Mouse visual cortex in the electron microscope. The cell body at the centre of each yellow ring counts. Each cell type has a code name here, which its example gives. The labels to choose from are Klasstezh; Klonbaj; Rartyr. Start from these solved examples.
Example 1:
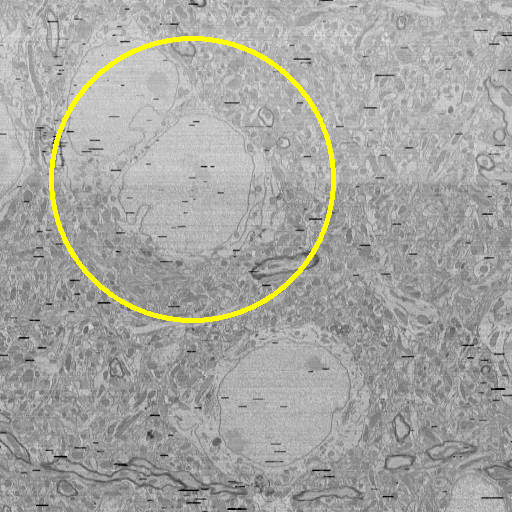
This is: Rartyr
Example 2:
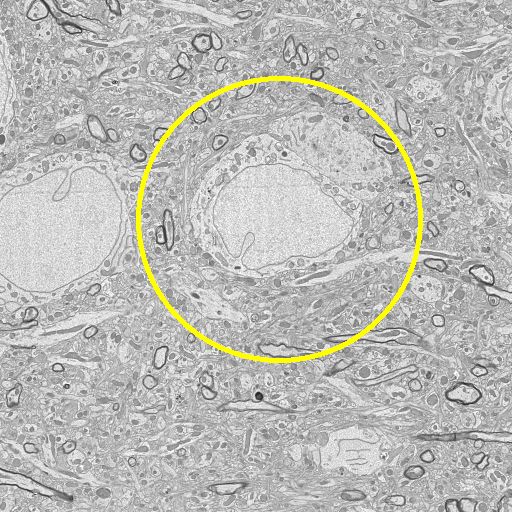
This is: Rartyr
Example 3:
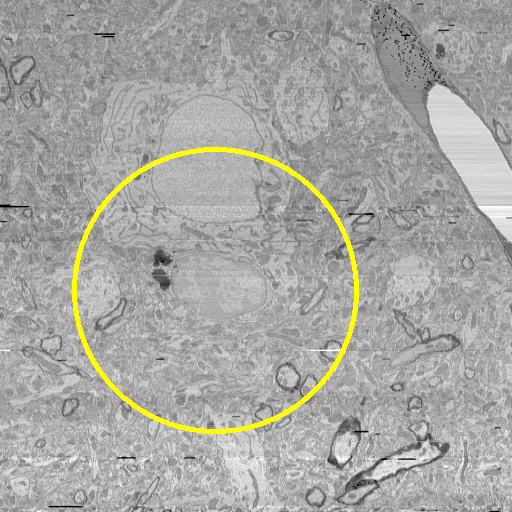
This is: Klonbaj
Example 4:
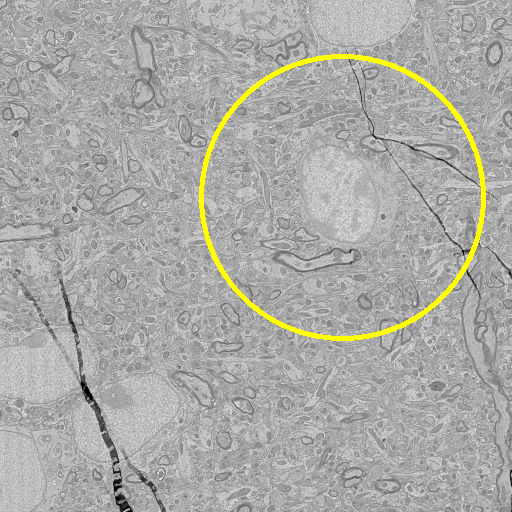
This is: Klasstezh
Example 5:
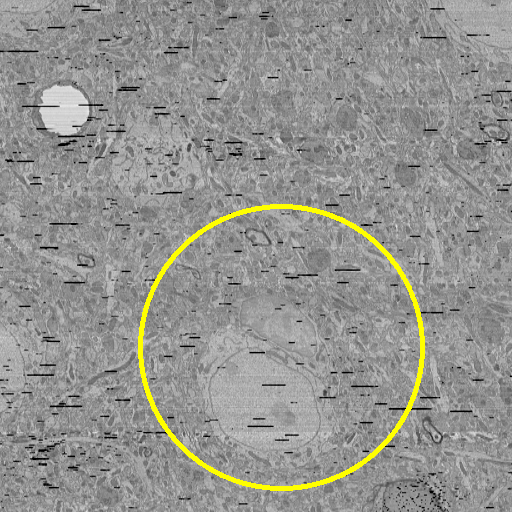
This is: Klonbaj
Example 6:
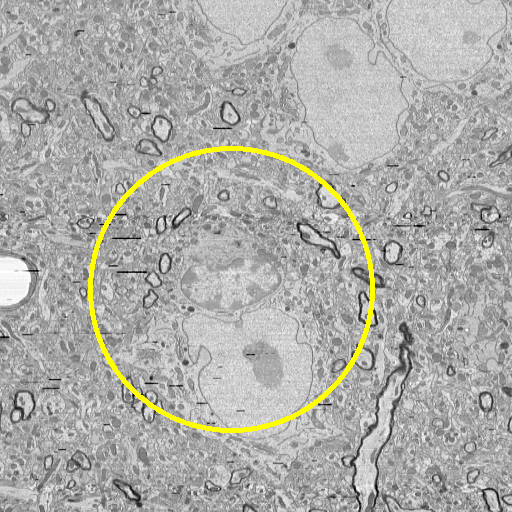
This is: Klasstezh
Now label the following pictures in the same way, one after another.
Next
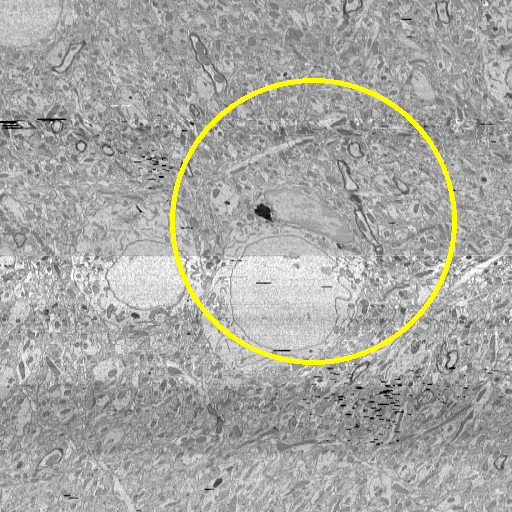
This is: Klonbaj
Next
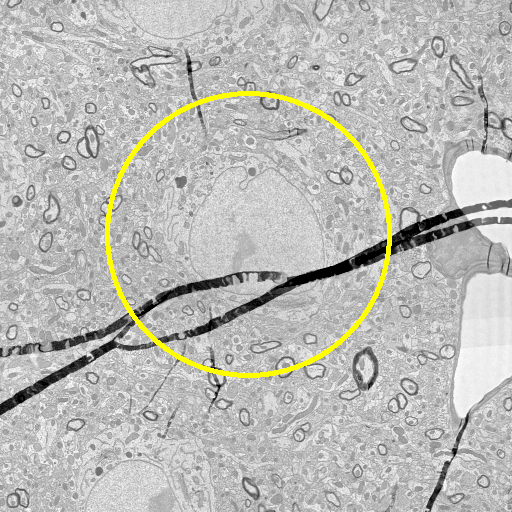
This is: Rartyr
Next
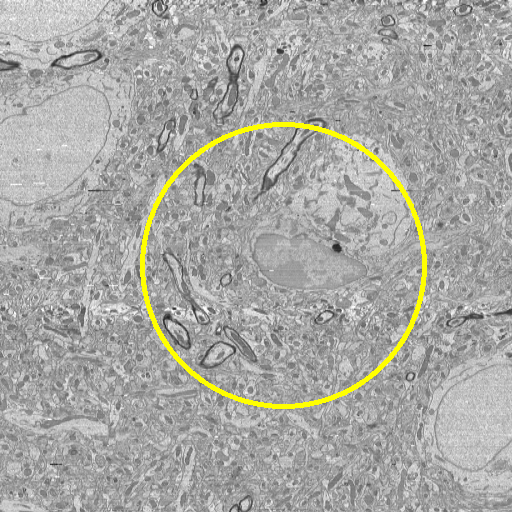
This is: Klonbaj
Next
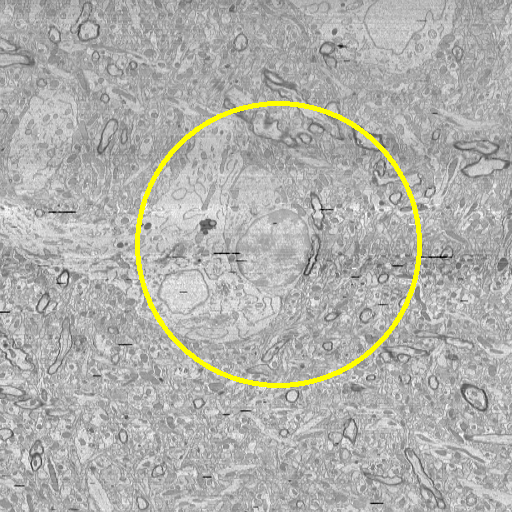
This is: Klasstezh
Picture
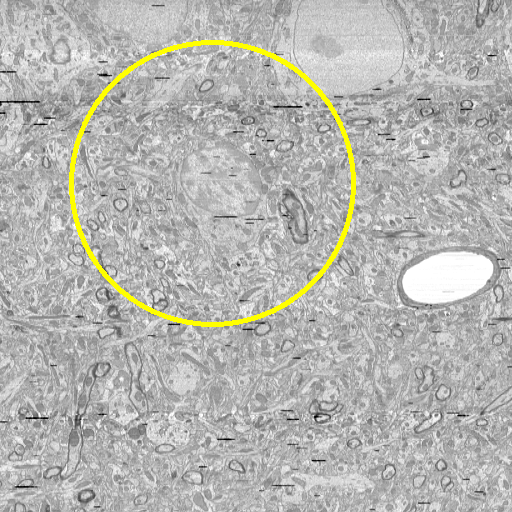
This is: Klasstezh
